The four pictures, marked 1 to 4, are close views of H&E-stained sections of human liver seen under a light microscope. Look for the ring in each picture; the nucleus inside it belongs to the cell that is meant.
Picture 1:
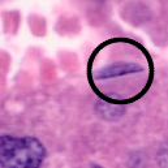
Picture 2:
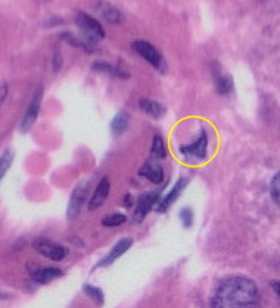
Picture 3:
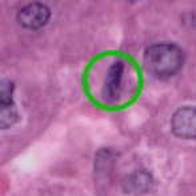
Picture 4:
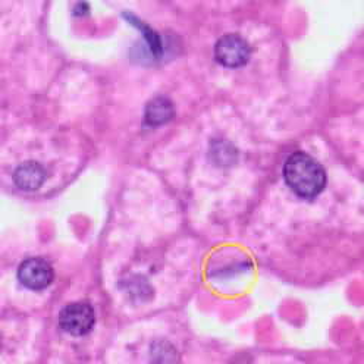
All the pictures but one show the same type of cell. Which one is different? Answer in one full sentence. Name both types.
Picture 4 differs, because its cell is an endothelial cell and the rest are “fibroblasts or stellate cells”.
